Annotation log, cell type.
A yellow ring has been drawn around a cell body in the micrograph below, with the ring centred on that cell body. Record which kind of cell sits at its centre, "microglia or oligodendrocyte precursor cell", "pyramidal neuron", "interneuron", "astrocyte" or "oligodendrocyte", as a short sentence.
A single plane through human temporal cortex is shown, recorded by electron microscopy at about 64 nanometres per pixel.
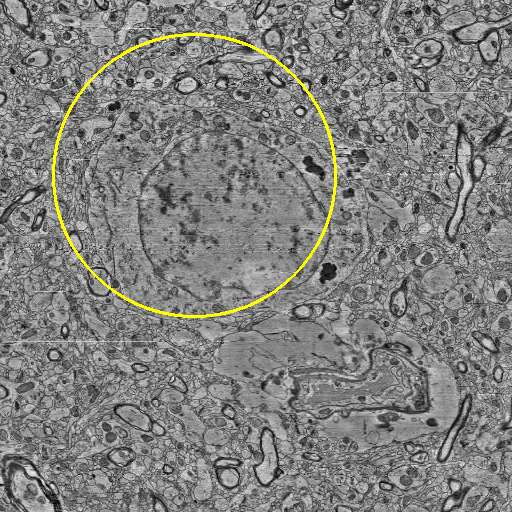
The cell at the centre of this ring is an interneuron.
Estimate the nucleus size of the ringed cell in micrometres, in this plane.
In this plane, the nucleus of the cell at the centre of the ring is about 12 micrometres across.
